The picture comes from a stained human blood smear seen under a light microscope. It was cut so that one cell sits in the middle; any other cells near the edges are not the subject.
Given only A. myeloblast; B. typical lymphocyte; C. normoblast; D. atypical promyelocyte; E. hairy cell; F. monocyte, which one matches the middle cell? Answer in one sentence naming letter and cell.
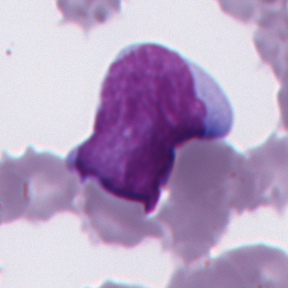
Well, the cell in the middle is a myeloblast, making option A right.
